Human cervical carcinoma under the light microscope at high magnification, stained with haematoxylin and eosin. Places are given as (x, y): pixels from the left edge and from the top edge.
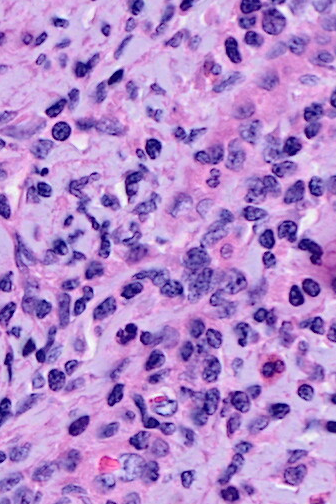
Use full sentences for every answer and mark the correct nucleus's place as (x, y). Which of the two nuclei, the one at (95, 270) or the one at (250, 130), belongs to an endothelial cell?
Of the two nuclei present, the one at (250, 130) is within an endothelial cell.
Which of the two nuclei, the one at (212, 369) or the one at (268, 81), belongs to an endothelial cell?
Rather than the other nucleus, the one at (268, 81) belongs to an endothelial cell.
